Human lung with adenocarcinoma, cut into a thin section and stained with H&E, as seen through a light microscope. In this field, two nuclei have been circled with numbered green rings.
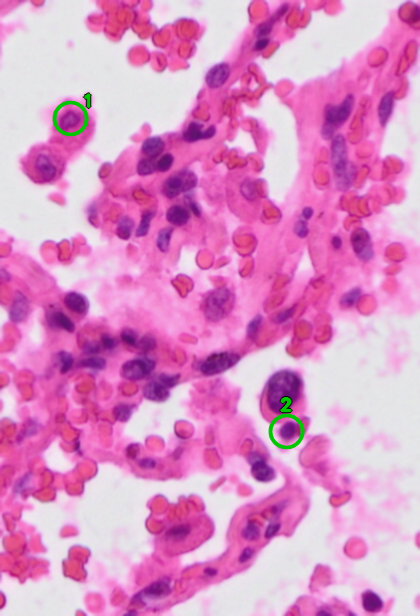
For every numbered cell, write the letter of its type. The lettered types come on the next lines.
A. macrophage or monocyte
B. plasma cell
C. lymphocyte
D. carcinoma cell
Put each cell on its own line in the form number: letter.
1: A
2: C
